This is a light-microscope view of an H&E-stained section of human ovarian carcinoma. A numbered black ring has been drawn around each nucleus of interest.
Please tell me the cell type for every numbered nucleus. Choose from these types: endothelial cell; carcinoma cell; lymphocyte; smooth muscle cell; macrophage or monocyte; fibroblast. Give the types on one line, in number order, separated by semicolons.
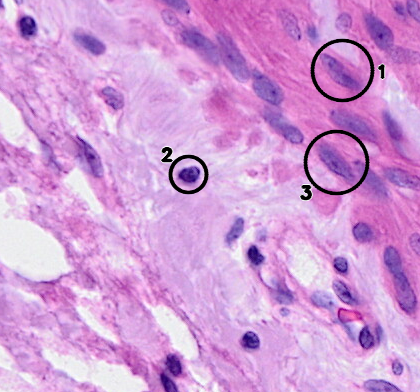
smooth muscle cell; lymphocyte; smooth muscle cell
